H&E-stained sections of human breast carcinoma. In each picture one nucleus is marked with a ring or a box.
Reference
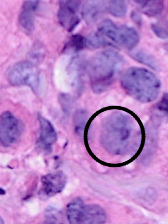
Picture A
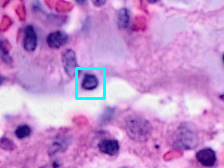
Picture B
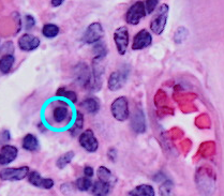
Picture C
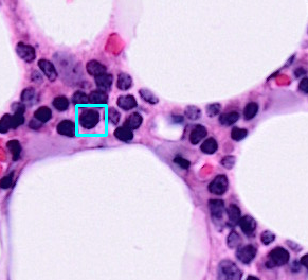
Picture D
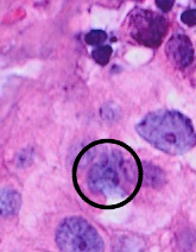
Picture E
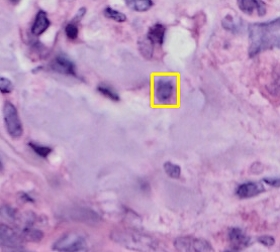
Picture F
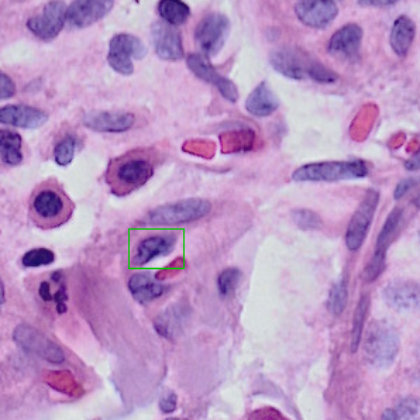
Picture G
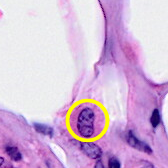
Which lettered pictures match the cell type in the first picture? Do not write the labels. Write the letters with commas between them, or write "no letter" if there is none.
D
